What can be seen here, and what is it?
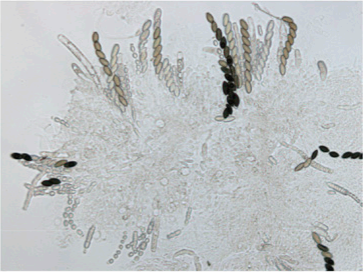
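A cluster of fungal asci spreads out from a large pale central mass. The elongated asci each carry a row of ellipsoidal ascospores, some pale grey and a few black. Fewer asci are spread out here than in a dense rosette, and thin colourless sacs lie among them.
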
